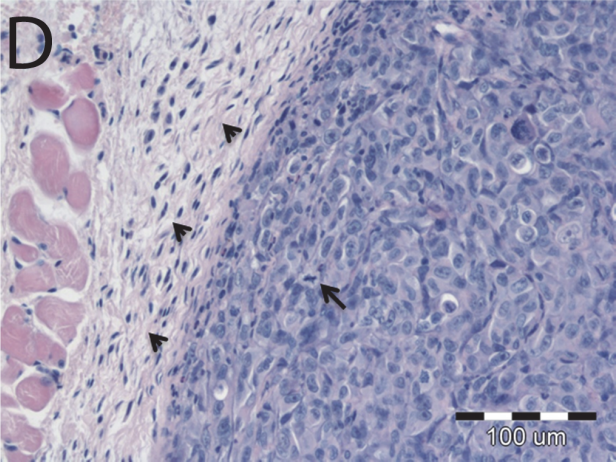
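On the left lie large pink, rounded muscle fibres, then a diagonal pale band of loose pink fibres with thin, elongated dark nuclei, and on the right a dense sheet of tumor cells with large pale nuclei, one marked by an arrow with a condensed dark nucleus. The pale band is a fibrous capsule enclosing the tumor mass, in which a mitotic figure is seen.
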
